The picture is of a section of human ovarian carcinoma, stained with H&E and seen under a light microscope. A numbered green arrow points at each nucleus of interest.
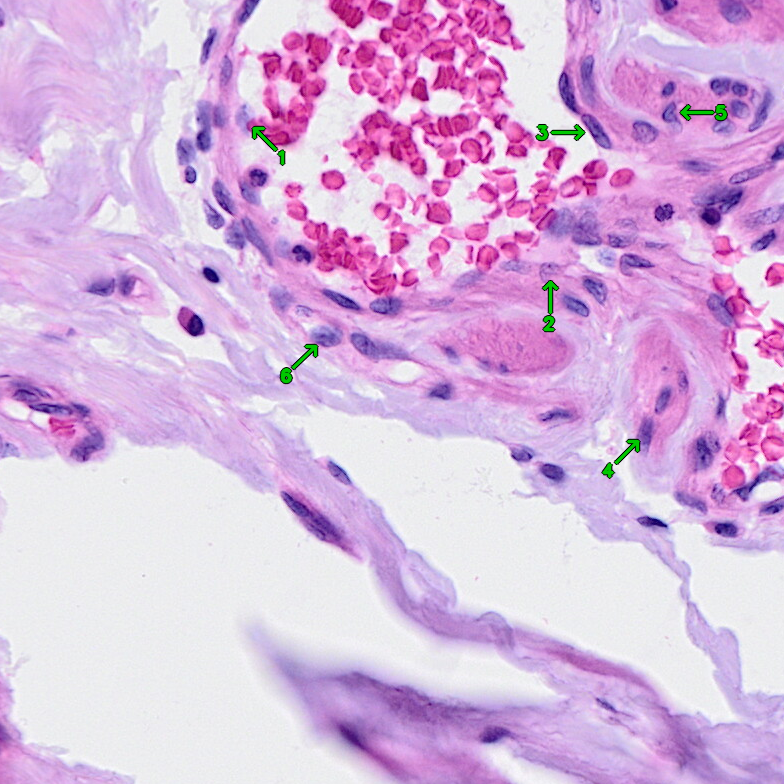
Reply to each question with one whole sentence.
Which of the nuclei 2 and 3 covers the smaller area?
The smaller nucleus is 2, and 3 covers roughly 2 times its area.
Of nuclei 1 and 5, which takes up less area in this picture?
With nucleus 1 about 2 times its size, nucleus 5 is the smaller of the two.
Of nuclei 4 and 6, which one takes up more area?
Nucleus 6 is the larger one, covering about 1.5 times the area of nucleus 4.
